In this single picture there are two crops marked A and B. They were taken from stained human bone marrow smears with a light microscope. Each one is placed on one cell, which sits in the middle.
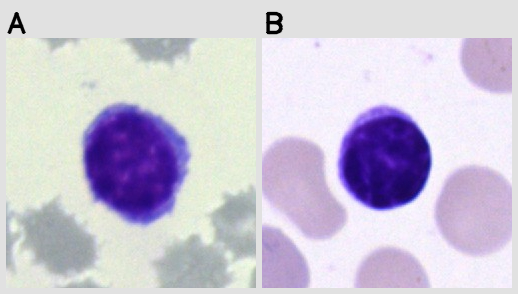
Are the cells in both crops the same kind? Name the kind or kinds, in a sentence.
Yes, that is right, both crops show lymphocytes.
